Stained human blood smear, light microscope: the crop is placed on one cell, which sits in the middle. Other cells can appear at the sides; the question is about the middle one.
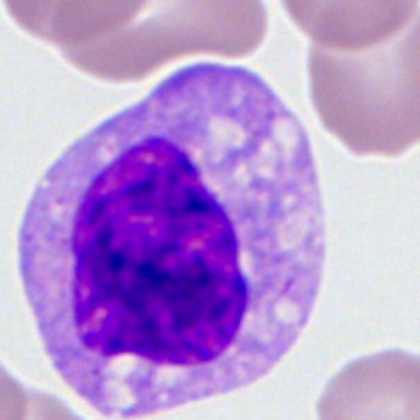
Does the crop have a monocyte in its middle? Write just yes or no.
yes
